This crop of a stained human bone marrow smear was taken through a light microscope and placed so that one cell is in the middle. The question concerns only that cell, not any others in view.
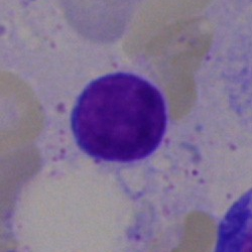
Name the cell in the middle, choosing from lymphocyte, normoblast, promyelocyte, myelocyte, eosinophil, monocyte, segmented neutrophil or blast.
lymphocyte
